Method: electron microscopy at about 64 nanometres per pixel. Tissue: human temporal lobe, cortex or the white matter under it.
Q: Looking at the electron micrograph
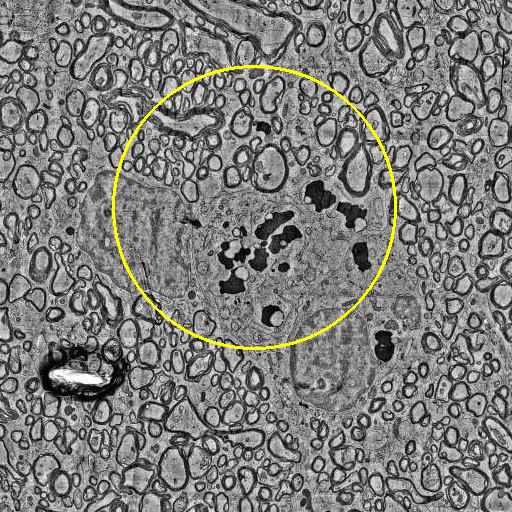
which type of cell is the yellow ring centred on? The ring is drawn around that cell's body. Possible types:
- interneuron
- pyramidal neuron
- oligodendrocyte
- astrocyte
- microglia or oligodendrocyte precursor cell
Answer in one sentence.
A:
The yellow ring is centred on a microglial cell or oligodendrocyte precursor cell.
